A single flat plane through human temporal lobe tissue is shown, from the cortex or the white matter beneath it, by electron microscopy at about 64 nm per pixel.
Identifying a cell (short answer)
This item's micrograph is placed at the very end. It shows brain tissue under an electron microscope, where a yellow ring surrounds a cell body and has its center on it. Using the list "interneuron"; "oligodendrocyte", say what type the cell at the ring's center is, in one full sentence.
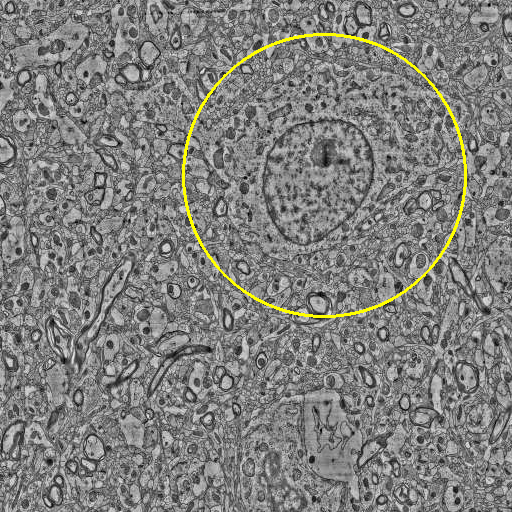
This picture shows an interneuron at the center of the yellow ring drawn on it.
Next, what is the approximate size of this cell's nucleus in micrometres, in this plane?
The nucleus has a long axis of about 8 micrometres and a short axis of about 7 micrometres in this plane.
